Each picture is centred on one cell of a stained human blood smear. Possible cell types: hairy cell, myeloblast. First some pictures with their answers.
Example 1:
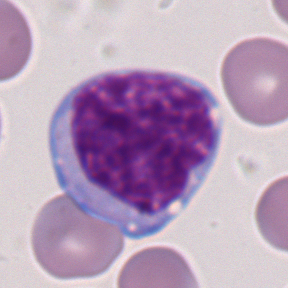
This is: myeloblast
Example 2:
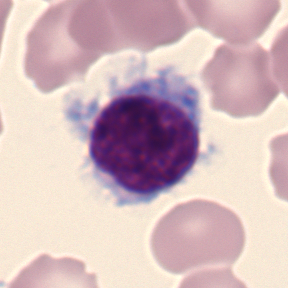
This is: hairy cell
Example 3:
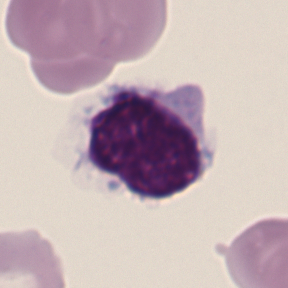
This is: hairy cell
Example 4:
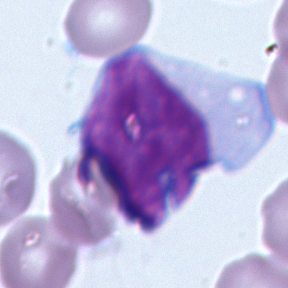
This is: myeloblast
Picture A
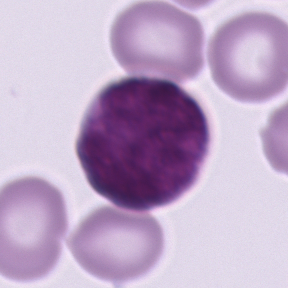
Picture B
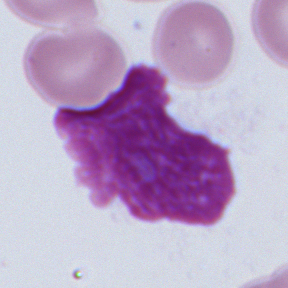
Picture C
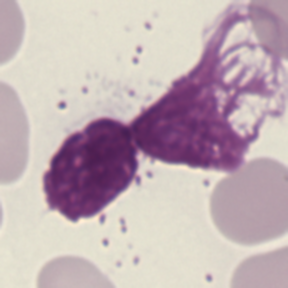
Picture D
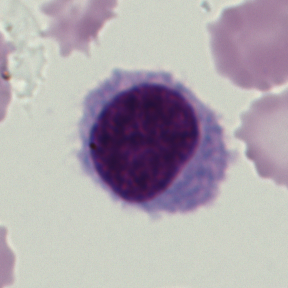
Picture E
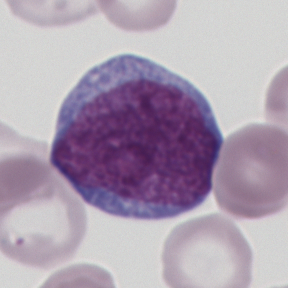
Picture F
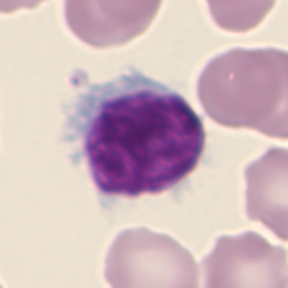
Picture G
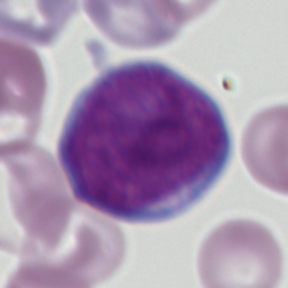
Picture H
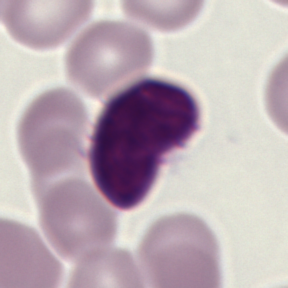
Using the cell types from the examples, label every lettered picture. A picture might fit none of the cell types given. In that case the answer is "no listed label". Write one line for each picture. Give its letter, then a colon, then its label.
A: myeloblast
B: no listed label
C: no listed label
D: hairy cell
E: myeloblast
F: hairy cell
G: myeloblast
H: no listed label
